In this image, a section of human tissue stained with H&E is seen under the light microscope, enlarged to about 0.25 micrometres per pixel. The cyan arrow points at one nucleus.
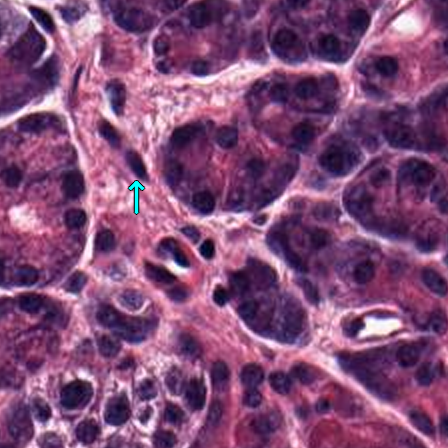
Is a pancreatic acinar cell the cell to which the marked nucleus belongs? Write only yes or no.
no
